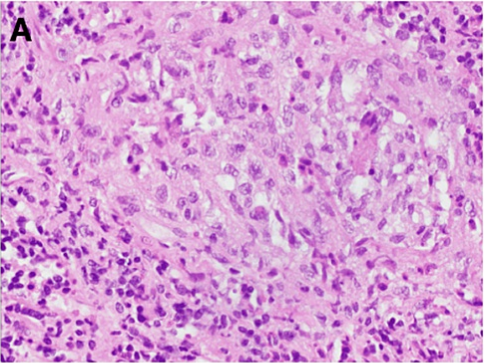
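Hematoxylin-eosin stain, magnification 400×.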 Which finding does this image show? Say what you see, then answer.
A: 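A dense infiltrate of large pale histiocyte-like cells with folded nuclei. Mixed with smaller inflammatory cells.
Hence: Langerhans cell histiocytosis.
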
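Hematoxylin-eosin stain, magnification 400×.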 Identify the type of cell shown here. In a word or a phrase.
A: Langerhans cells and eosinophils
